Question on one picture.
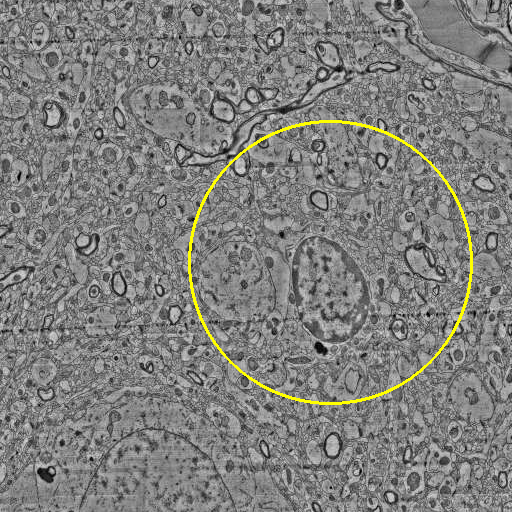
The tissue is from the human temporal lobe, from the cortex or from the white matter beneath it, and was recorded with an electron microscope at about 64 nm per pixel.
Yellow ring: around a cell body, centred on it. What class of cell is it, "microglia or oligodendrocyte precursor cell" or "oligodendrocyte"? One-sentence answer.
This is a microglial cell or oligodendrocyte precursor cell, the cell the ring is centred on.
